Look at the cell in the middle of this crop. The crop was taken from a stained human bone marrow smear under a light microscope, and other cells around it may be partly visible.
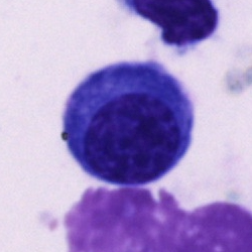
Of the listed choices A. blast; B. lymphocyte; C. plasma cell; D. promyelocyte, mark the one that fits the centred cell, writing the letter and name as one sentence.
Option C is accurate; the centrally placed cell is a plasma cell.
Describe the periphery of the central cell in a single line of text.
No projections interrupt the outline; it is smooth all the way round.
